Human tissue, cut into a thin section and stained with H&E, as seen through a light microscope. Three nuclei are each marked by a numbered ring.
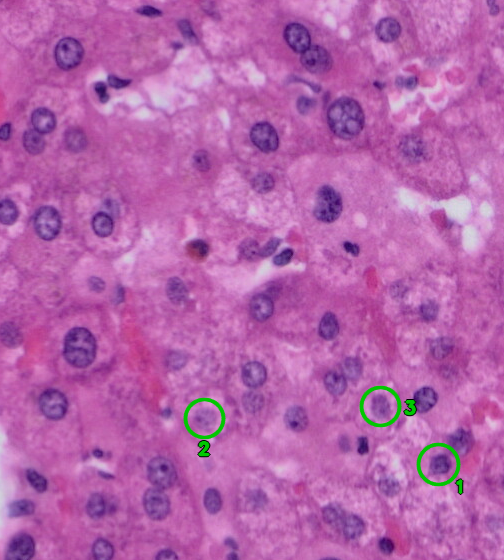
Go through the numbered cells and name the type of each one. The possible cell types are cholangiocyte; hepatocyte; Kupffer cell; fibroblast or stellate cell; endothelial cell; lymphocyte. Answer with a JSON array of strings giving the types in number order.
["fibroblast or stellate cell", "hepatocyte", "hepatocyte"]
